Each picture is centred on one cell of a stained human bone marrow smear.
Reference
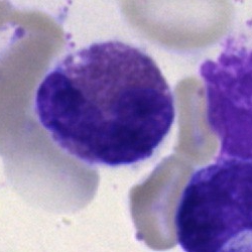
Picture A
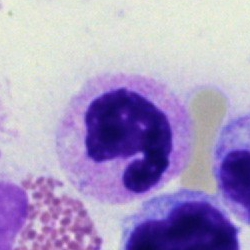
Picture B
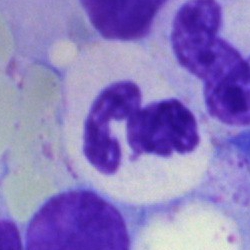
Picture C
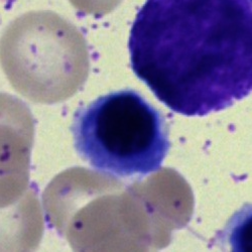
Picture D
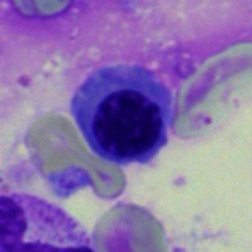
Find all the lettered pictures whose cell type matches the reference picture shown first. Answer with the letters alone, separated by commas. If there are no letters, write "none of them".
none of them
